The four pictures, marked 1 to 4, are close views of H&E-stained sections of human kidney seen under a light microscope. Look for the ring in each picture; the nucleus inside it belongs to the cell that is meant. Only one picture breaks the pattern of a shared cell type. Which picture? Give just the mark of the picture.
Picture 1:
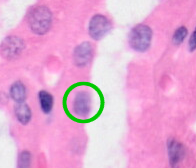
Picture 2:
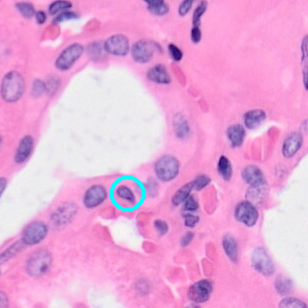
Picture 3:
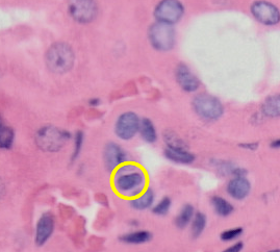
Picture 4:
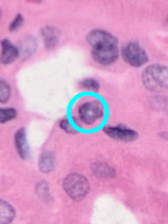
1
